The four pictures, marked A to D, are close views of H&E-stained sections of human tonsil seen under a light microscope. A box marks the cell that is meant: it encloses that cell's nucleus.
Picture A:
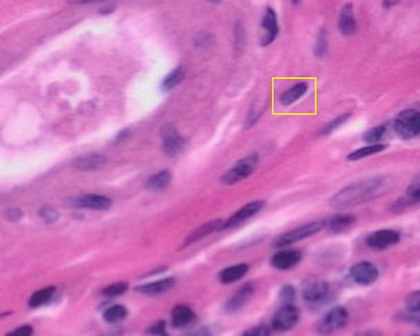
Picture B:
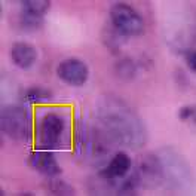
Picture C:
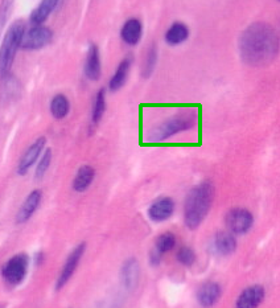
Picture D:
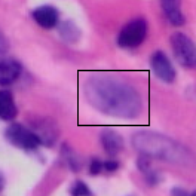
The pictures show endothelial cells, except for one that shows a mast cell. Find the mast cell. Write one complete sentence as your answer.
It is picture A that shows the mast cell.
